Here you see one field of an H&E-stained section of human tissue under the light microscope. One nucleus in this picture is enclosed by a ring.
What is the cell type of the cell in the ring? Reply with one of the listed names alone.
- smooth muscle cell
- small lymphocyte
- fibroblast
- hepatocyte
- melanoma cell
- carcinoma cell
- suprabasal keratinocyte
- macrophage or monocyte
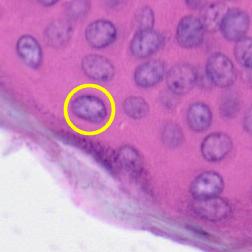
suprabasal keratinocyte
